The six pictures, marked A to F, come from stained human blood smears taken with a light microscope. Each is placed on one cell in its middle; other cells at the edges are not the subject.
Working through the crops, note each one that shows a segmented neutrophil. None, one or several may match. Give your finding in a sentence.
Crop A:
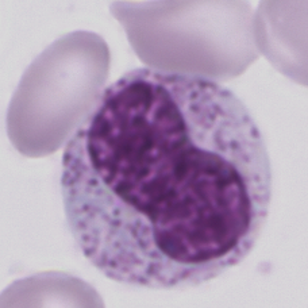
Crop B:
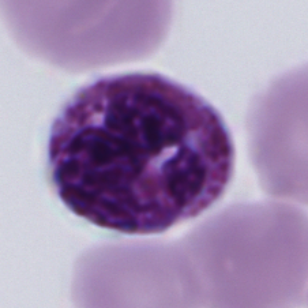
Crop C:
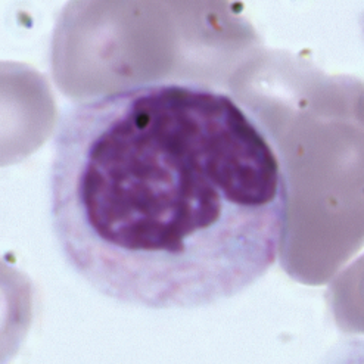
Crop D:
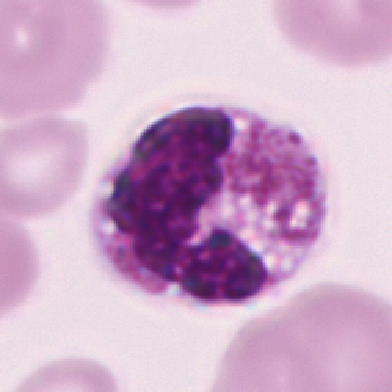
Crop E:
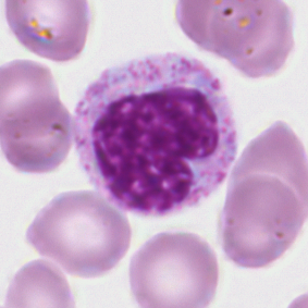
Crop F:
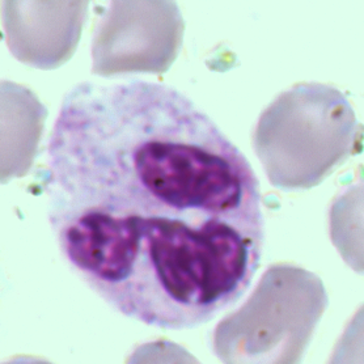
It is crop F that shows a segmented neutrophil; the other crops do not.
